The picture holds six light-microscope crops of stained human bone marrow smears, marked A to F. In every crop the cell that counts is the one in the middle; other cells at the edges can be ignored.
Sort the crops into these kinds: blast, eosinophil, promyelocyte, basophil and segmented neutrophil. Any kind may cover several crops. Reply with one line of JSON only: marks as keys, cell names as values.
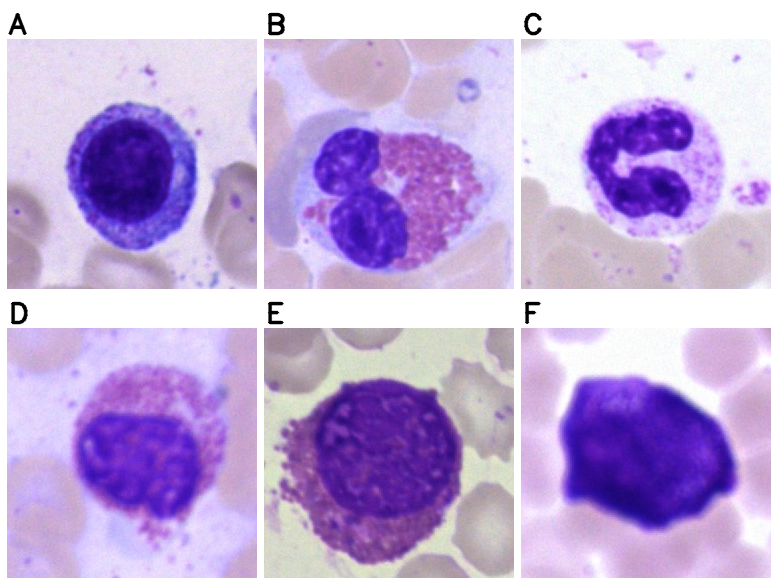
{"A": "promyelocyte", "B": "eosinophil", "C": "segmented neutrophil", "D": "eosinophil", "E": "eosinophil", "F": "blast"}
